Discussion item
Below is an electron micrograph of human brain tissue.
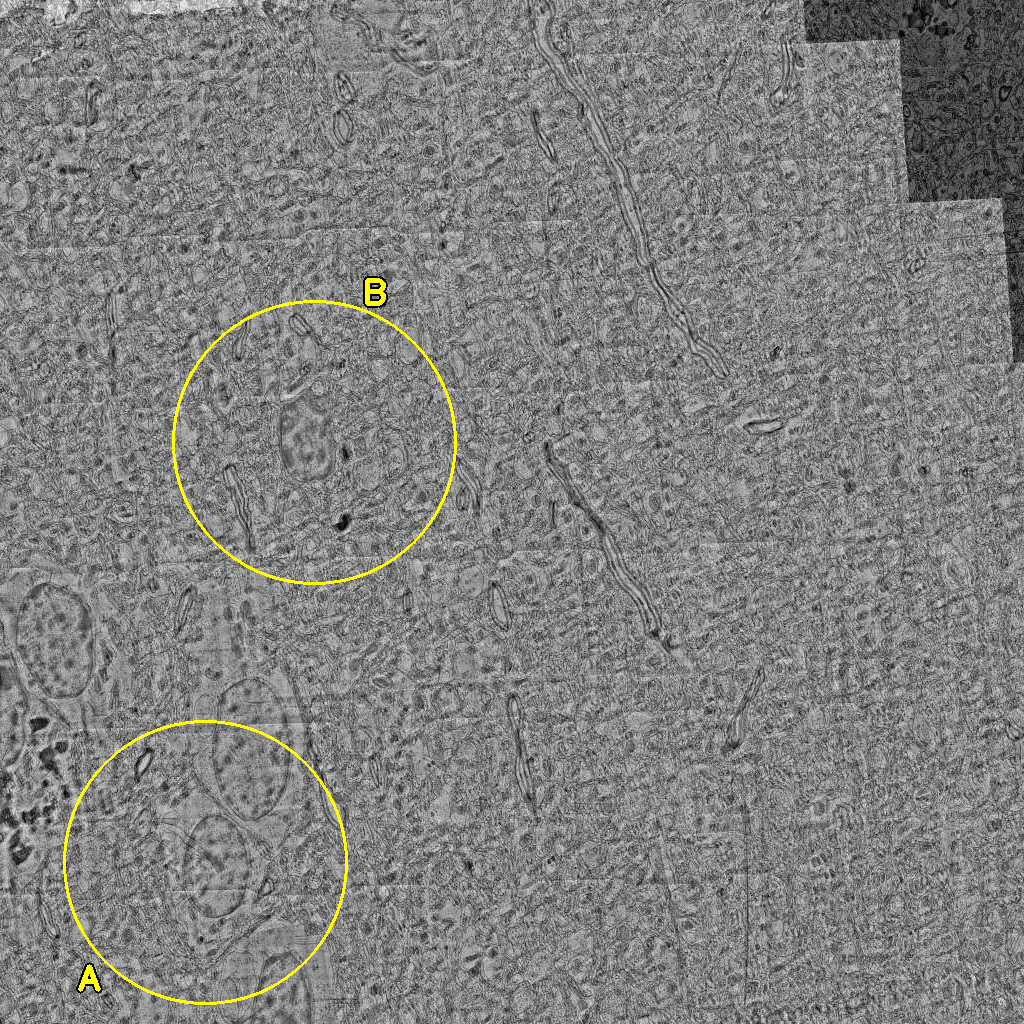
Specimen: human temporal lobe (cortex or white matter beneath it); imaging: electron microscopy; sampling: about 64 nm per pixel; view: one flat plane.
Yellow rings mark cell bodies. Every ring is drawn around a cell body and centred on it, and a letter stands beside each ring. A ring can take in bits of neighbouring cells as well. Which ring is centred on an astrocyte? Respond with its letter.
A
